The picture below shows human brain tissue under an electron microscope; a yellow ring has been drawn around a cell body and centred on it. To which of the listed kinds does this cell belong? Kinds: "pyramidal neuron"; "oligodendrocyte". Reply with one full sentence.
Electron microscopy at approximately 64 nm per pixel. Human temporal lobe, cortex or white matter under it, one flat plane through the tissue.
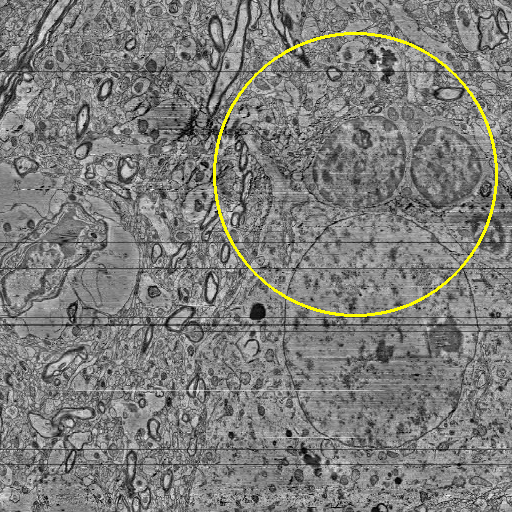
It is an oligodendrocyte that the yellow ring in the picture is centred on.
